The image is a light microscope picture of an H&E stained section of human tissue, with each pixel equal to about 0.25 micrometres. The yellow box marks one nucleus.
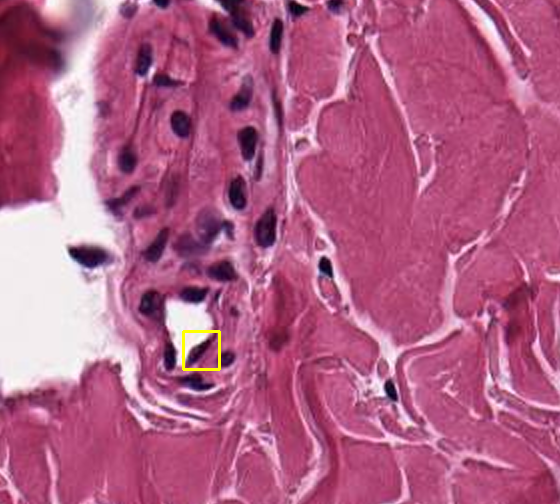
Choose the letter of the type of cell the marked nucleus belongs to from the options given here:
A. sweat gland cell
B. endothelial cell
B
